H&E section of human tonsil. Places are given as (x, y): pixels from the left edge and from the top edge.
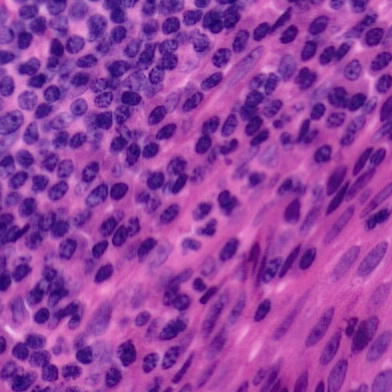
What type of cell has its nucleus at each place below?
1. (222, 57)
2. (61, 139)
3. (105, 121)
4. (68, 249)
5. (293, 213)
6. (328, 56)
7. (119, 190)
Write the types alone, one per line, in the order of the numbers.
plasma cell
small lymphocyte
small lymphocyte
plasma cell
squamous epithelial cell
plasma cell
plasma cell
